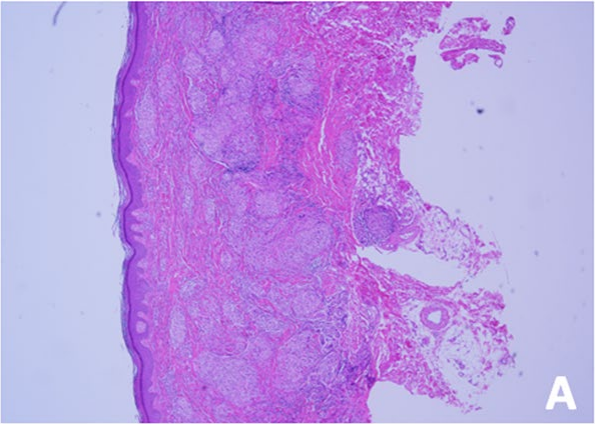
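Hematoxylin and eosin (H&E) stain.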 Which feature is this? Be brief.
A: Non-caseating granuloma.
